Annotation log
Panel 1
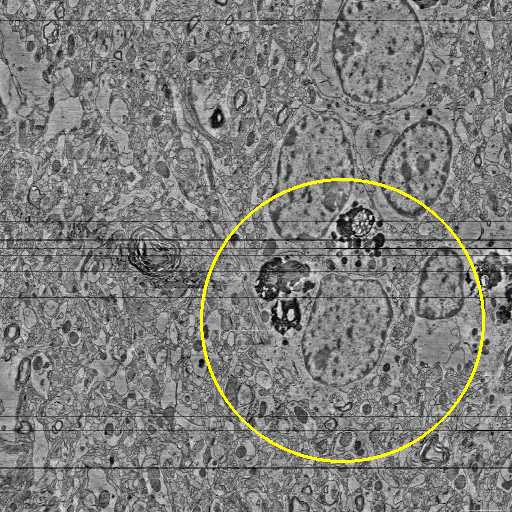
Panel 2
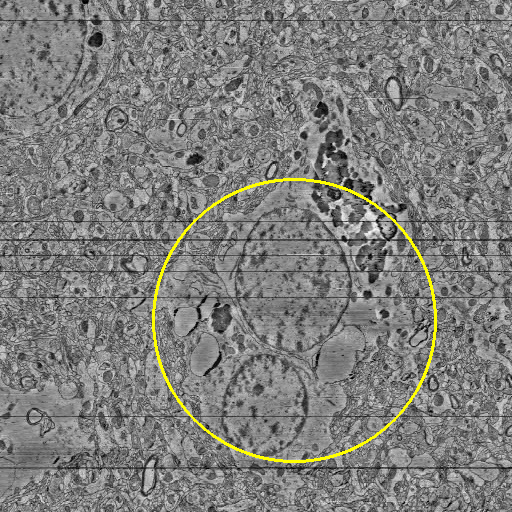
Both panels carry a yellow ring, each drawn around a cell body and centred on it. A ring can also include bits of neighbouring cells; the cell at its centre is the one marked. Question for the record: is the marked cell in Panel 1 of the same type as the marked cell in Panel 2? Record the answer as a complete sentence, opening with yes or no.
Yes, the marked cells in Panel 1 and Panel 2 are of the same type.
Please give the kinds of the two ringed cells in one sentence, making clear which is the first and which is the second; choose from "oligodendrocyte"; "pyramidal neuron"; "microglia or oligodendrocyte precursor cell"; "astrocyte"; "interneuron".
In both pictures the ring is centred on an astrocyte.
